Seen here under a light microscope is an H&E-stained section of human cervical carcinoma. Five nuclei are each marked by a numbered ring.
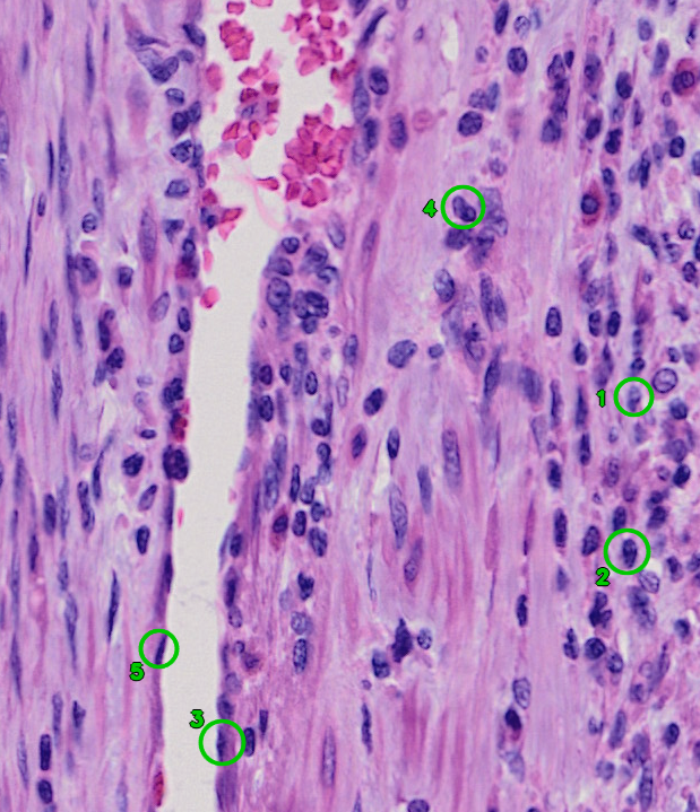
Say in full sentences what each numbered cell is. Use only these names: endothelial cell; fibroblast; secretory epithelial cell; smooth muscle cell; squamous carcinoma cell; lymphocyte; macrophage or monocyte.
Cell 1 is a lymphocyte, cell 2 is a lymphocyte, cell 3 is an endothelial cell, cell 4 is a lymphocyte and cell 5 is an endothelial cell.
